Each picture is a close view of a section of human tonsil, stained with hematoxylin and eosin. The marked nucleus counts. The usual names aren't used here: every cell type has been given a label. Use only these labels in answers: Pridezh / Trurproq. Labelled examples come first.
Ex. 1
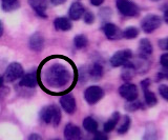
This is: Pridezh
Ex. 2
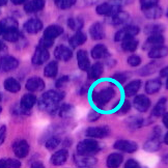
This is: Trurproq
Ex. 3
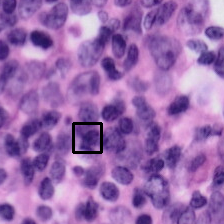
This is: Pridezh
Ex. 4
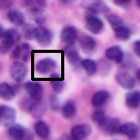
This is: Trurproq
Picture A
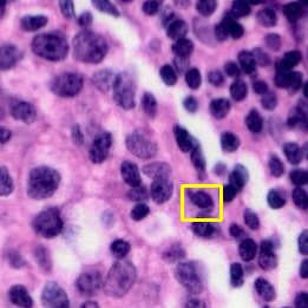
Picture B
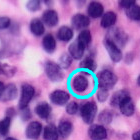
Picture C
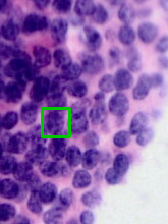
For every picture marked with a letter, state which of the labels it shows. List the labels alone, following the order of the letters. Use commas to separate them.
Pridezh, Trurproq, Trurproq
